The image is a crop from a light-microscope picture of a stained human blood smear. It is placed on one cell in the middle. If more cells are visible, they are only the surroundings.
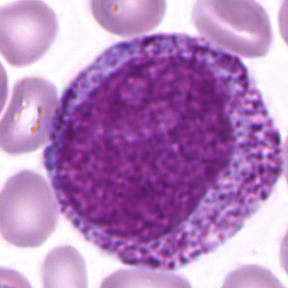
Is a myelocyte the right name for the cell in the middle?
no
